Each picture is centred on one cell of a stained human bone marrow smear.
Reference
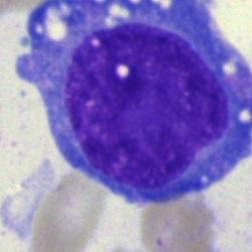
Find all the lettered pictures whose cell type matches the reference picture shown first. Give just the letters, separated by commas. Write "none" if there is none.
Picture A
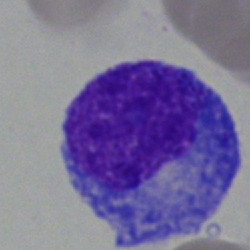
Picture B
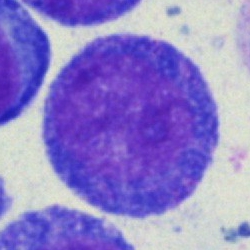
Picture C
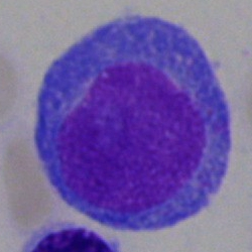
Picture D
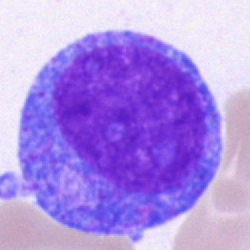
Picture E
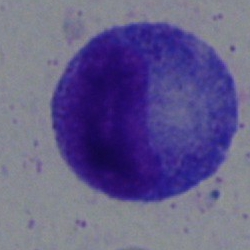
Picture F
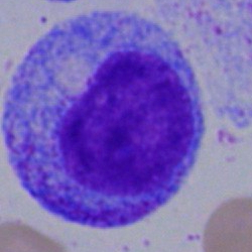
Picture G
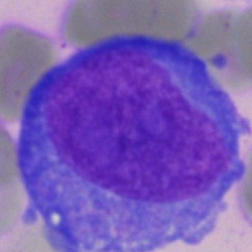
C, G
